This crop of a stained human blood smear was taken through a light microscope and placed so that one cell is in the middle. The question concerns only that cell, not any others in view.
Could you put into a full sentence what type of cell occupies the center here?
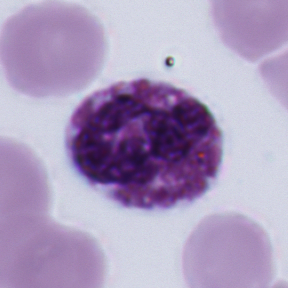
The center cell of this crop is an eosinophil.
